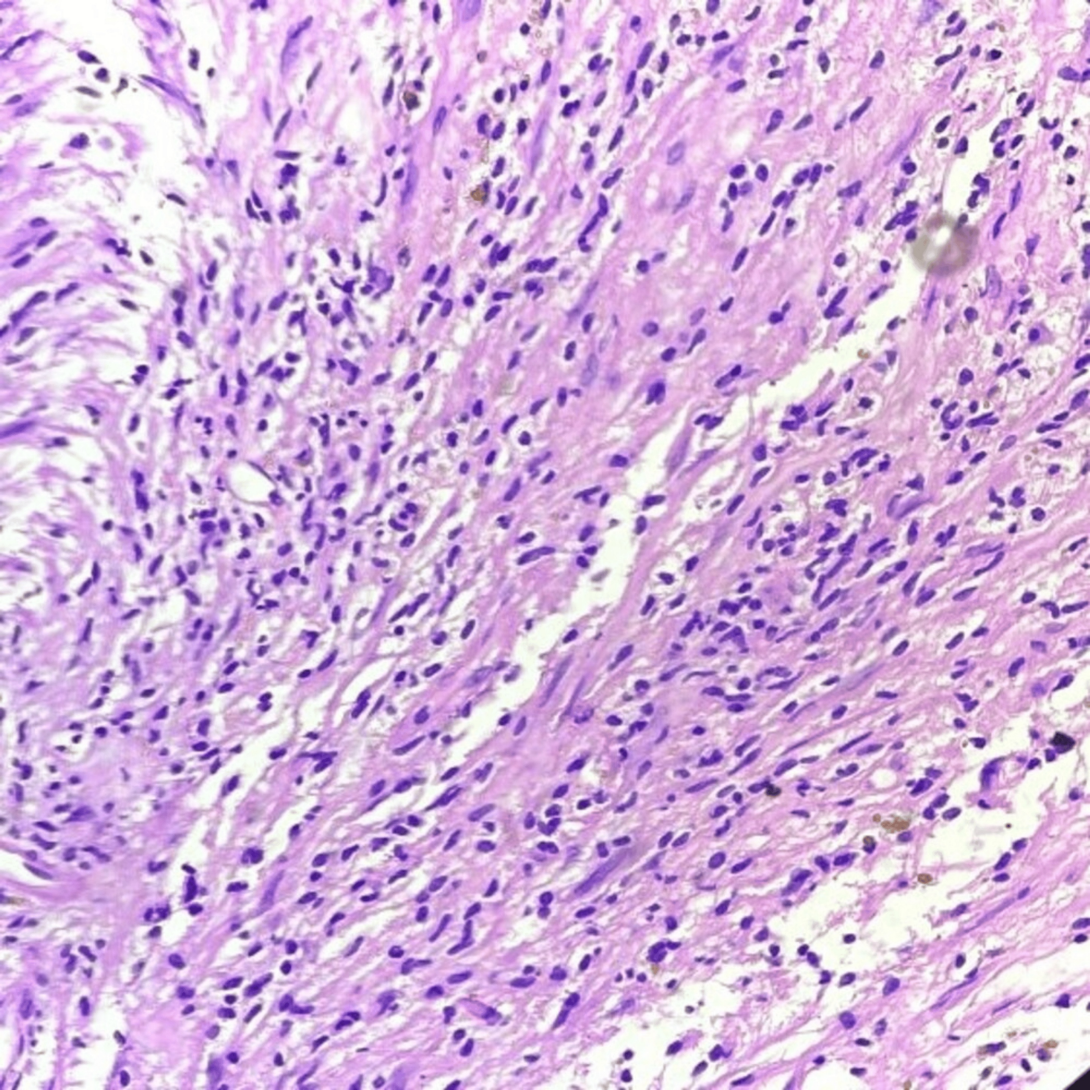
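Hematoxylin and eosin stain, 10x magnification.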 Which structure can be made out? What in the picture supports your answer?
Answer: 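The elongated cells are grouped in streaming bundles. The bundles run mostly diagonally across the field, with a swirling area at the left.
Conclusion: fascicular arrangement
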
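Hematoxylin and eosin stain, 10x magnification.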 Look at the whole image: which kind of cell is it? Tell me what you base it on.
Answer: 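Many nuclei are elongated and tapered at both ends. The elongated cells lie in a pink fibrillary stroma. The long axes of the cells run roughly parallel.
Hence: spindle cells.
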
